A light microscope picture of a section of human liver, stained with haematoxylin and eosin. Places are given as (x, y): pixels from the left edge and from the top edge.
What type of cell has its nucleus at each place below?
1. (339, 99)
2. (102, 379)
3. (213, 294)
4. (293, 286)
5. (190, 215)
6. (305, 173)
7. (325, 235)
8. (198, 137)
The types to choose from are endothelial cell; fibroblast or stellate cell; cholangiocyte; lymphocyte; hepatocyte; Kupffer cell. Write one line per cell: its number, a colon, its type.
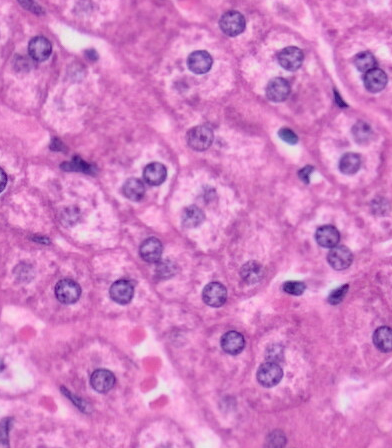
1: fibroblast or stellate cell
2: hepatocyte
3: hepatocyte
4: lymphocyte
5: hepatocyte
6: endothelial cell
7: hepatocyte
8: hepatocyte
